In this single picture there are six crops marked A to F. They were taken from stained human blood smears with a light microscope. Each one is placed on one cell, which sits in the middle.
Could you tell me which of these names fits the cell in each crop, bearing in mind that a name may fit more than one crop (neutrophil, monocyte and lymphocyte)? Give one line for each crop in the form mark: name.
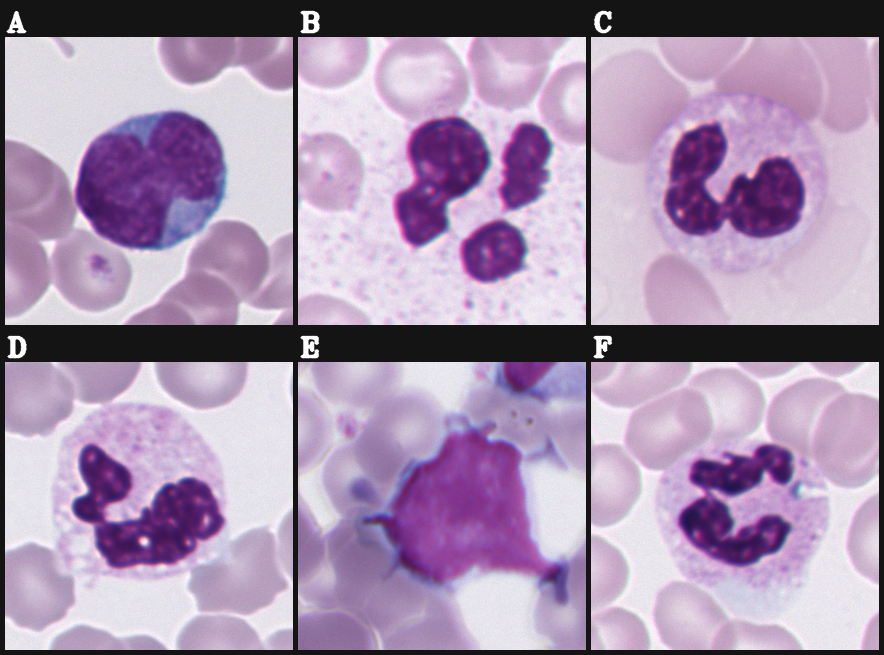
A: monocyte
B: neutrophil
C: neutrophil
D: neutrophil
E: lymphocyte
F: neutrophil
